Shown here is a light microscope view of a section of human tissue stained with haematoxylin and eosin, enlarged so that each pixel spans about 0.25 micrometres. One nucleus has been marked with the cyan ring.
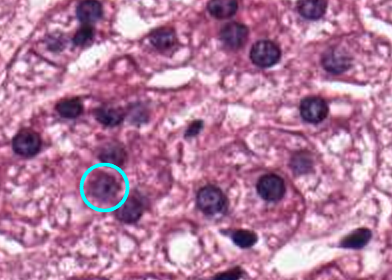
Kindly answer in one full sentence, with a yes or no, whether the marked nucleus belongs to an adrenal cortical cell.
Yes, the marked nucleus is assigned to an adrenal cortical cell.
